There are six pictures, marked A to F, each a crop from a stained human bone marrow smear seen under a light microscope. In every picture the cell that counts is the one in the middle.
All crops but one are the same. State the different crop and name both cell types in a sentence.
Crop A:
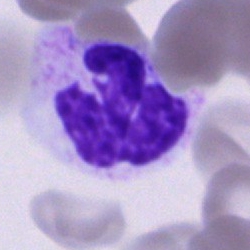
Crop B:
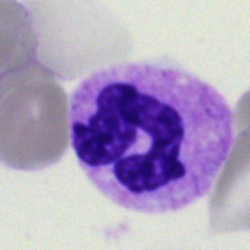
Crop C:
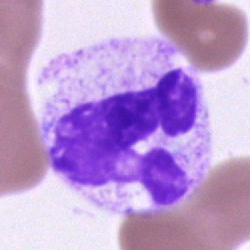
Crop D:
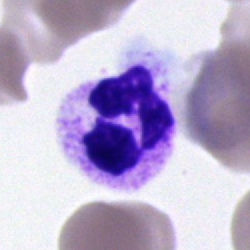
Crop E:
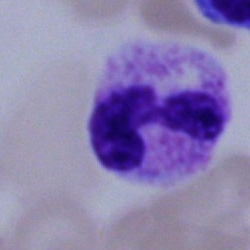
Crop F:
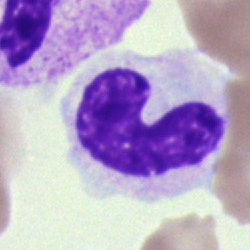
Of the crops, all show segmented neutrophils save crop F, which shows a band neutrophil.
